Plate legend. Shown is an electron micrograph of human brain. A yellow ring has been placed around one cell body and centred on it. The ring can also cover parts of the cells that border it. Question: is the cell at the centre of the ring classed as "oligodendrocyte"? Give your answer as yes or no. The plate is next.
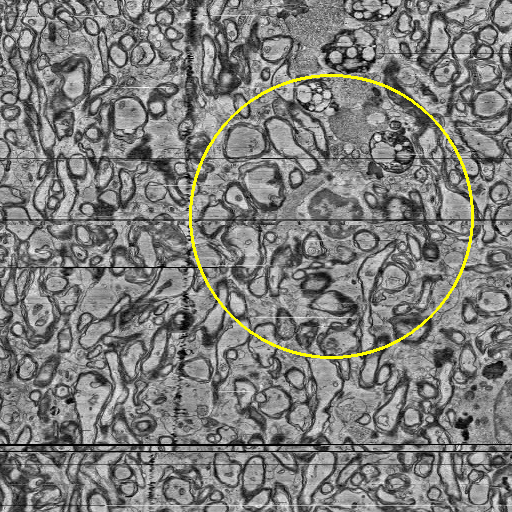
No, the ringed cell is of another kind.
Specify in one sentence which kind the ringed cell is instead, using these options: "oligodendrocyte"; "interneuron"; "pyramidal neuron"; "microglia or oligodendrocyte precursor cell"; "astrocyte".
The ring's central cell is a microglial cell or oligodendrocyte precursor cell instead.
